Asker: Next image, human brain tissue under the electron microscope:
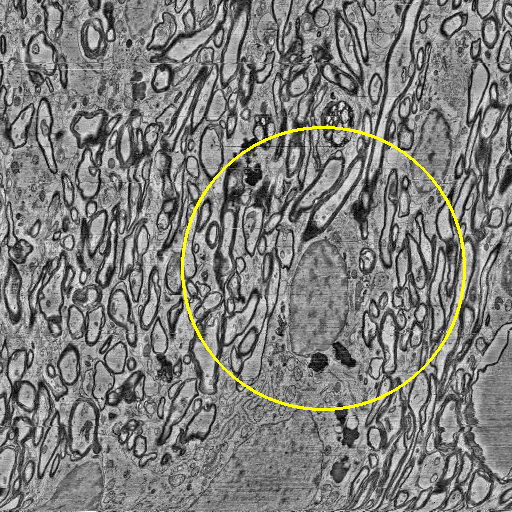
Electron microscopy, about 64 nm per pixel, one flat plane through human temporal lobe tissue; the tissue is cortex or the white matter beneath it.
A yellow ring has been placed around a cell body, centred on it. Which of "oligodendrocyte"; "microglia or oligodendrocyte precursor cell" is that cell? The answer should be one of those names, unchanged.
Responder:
oligodendrocyte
